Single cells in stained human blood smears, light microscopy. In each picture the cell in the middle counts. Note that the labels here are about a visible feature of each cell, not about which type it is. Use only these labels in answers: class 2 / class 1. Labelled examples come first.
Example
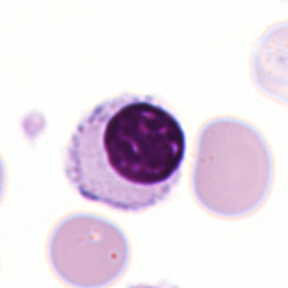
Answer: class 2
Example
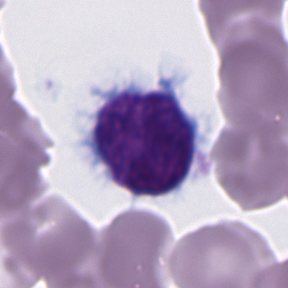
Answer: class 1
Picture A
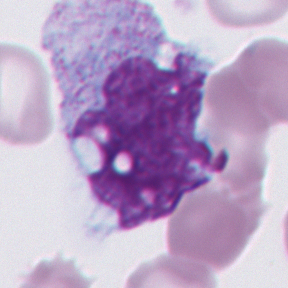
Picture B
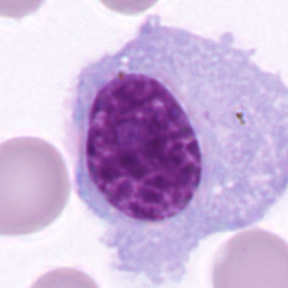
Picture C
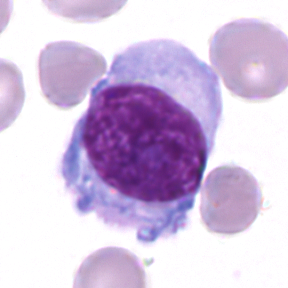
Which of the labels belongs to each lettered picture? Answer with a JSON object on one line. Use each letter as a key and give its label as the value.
{"A": "class 2", "B": "class 2", "C": "class 2"}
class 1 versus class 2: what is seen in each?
Seen in class 1: scant cytoplasm; seen in class 2: abundant cytoplasm.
